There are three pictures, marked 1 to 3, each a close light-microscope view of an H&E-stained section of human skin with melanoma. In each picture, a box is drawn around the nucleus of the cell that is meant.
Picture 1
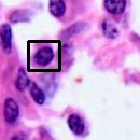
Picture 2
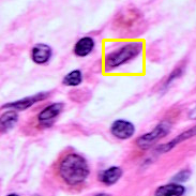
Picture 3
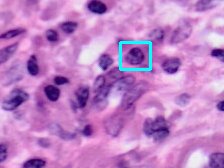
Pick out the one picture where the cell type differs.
2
